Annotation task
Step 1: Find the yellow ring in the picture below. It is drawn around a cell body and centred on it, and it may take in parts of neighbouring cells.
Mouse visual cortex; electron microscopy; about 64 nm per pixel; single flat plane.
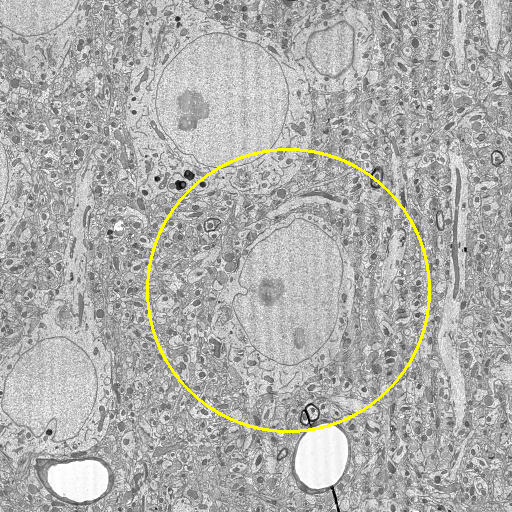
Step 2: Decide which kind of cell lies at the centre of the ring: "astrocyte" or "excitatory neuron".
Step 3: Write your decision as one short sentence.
The kind of cell at the ring's centre is an excitatory neuron.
